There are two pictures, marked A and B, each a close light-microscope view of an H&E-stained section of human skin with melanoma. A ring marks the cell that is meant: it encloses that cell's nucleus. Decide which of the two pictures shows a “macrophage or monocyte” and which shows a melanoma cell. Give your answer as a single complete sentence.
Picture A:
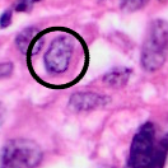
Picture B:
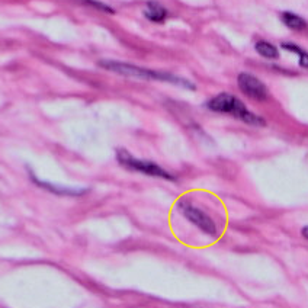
Picture B shows a “macrophage or monocyte”, while picture A shows a melanoma cell.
